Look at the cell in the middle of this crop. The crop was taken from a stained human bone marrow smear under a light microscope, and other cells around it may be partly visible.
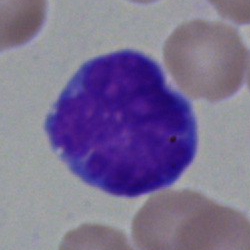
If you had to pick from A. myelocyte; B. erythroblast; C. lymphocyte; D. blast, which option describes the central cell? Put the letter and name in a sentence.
The cell at the heart of the crop is a blast, so choose option D.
